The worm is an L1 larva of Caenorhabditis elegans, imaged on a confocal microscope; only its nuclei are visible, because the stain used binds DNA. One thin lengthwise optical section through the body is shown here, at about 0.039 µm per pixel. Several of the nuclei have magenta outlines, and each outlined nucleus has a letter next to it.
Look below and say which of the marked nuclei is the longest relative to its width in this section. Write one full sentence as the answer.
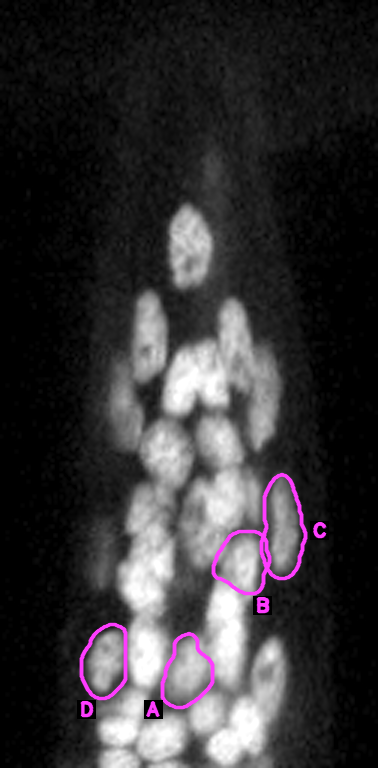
C is the most elongated in this section.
